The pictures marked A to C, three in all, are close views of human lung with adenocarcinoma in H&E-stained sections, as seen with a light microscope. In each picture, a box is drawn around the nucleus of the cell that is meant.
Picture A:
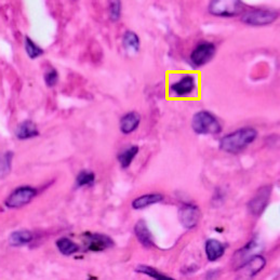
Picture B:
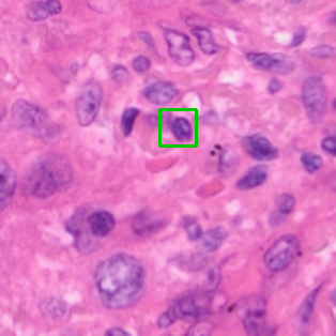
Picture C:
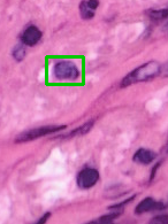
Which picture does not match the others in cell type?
A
